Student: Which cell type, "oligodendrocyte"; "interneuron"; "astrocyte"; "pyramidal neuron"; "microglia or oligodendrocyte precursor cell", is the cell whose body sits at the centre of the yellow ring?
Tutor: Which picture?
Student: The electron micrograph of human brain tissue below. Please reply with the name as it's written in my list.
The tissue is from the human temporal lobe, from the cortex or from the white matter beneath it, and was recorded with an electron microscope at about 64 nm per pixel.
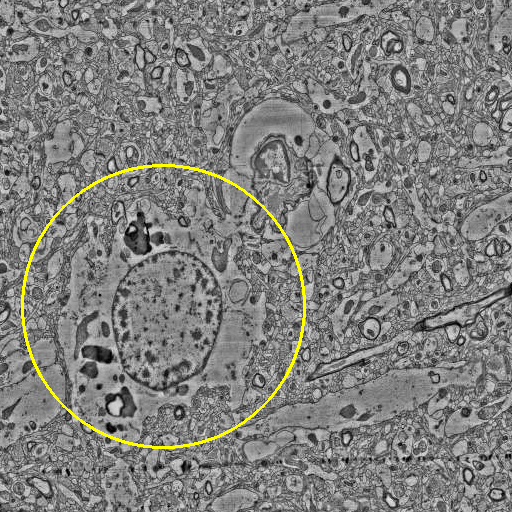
astrocyte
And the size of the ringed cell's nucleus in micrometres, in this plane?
In this plane the nucleus measures roughly 9 by 7 micrometers.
